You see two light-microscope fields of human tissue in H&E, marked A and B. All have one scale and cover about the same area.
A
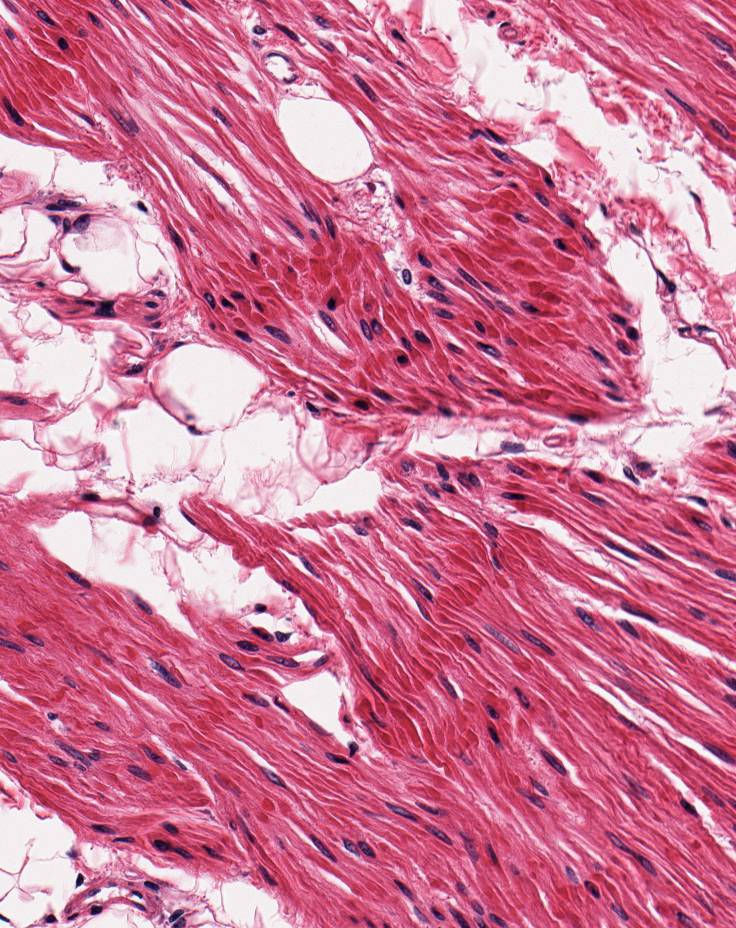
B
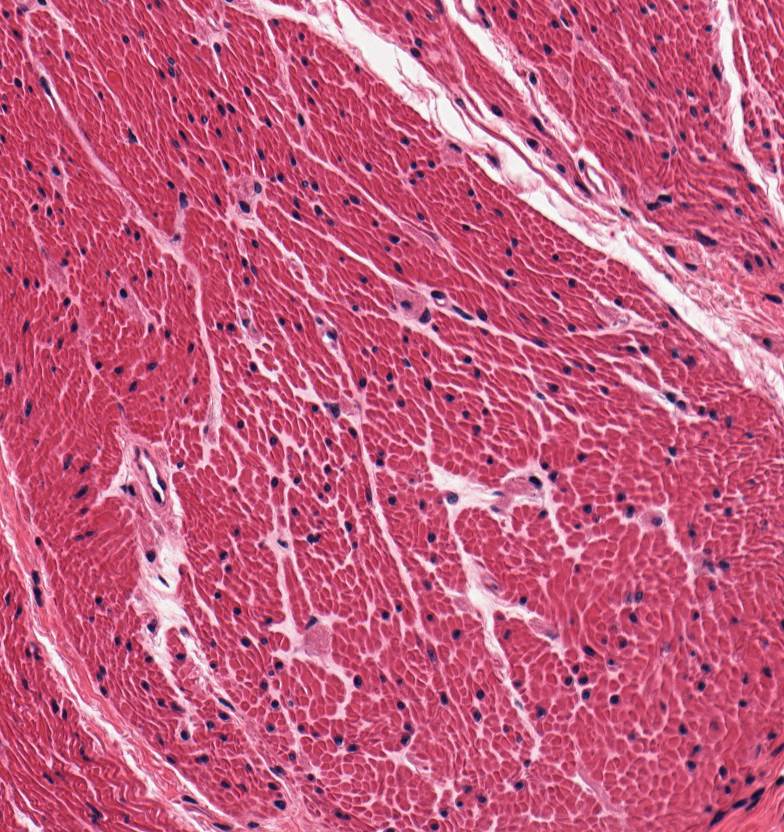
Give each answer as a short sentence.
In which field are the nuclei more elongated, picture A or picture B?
It is picture A whose nuclei are the more elongated.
